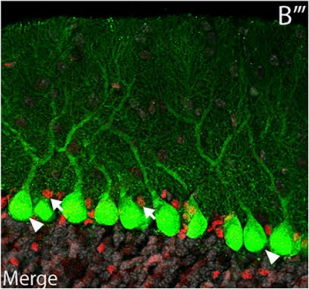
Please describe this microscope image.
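This is cerebellar cortex showing a row of Purkinje neurons stained green, with large flask-shaped cell bodies lined up in a single layer. From each cell body a thick dendrite rises into the molecular layer above, where it branches into a green arbor that fills the layer. The Purkinje cell bodies themselves lack red nuclear signal. Small red nuclei lie between and just beneath the Purkinje cell bodies in the Purkinje cell layer, in cells that are not green. Below lies the granular layer, a densely packed sheet of small grey nuclei, while the molecular layer contains only sparse scattered nuclei.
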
